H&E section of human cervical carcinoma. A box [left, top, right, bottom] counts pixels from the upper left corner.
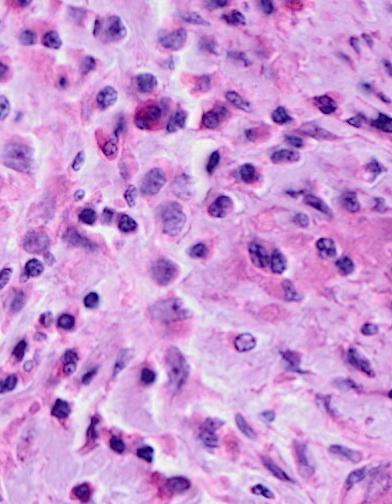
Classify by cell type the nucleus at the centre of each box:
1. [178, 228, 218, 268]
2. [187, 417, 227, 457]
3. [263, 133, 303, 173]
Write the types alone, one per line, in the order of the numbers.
lymphocyte
macrophage or monocyte
lymphocyte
